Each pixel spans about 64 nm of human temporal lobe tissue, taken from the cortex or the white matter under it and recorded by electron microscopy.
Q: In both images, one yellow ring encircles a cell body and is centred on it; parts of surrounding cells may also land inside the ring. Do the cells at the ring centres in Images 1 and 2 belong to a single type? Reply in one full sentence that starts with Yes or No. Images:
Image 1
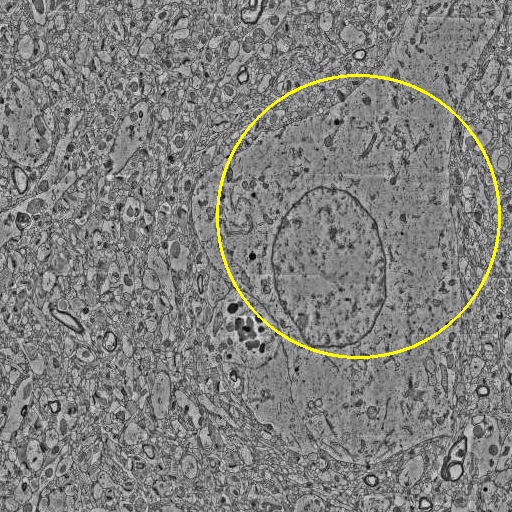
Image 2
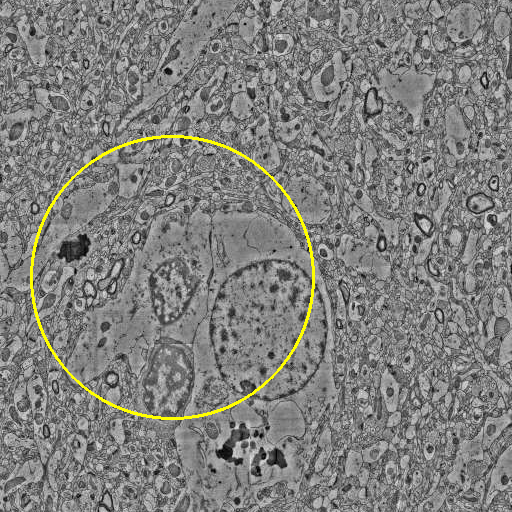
No, the cells at the ring centres in Images 1 and 2 are of two types.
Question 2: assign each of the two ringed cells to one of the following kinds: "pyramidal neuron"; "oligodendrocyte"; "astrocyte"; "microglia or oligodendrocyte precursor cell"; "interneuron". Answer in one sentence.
The two cells are a pyramidal neuron in the first picture and an astrocyte in the second.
